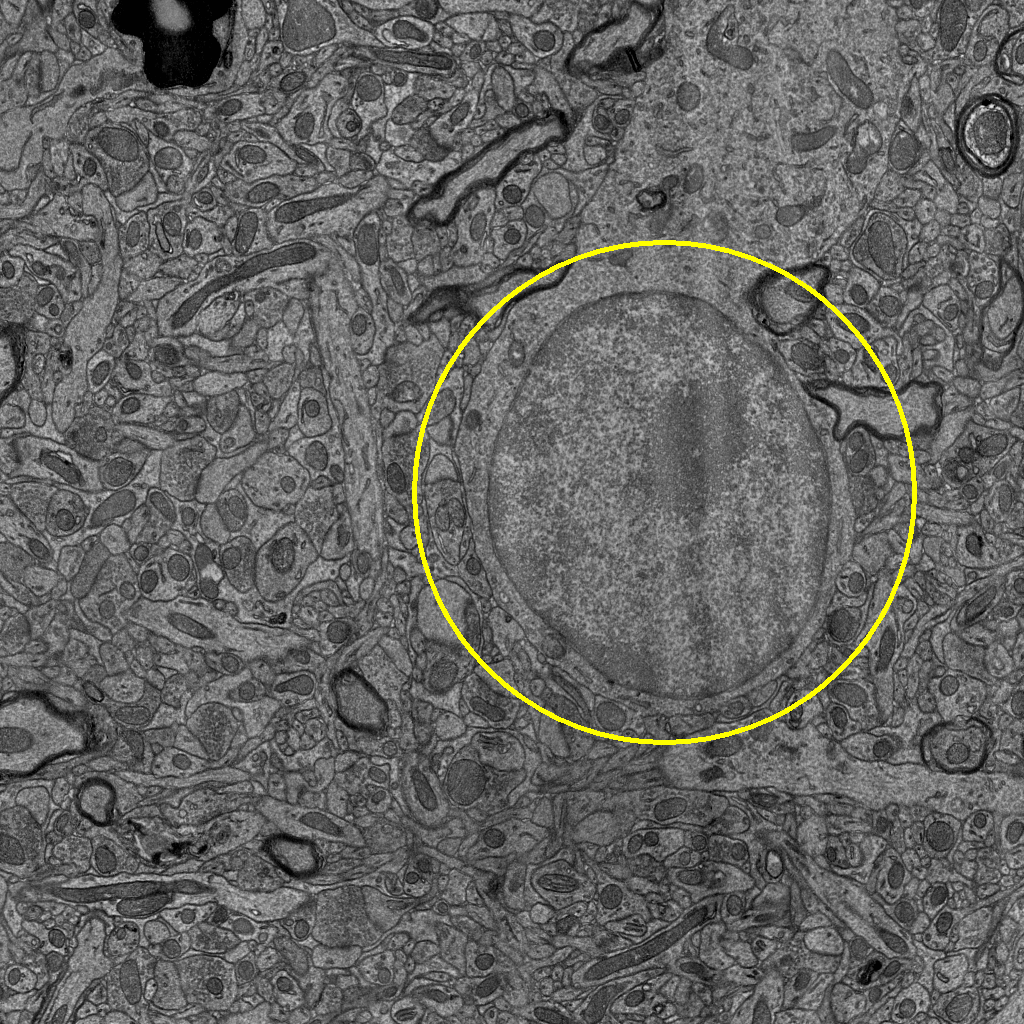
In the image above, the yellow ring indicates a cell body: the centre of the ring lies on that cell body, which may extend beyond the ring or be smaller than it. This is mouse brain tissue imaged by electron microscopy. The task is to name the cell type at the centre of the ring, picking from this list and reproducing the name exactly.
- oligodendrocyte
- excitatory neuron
oligodendrocyte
